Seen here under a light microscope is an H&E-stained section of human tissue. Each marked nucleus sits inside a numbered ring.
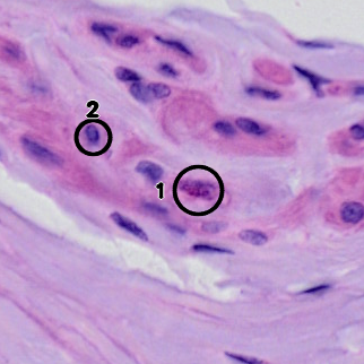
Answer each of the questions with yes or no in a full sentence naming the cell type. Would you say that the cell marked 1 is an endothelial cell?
Yes, cell 1 is an endothelial cell in this tissue section.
